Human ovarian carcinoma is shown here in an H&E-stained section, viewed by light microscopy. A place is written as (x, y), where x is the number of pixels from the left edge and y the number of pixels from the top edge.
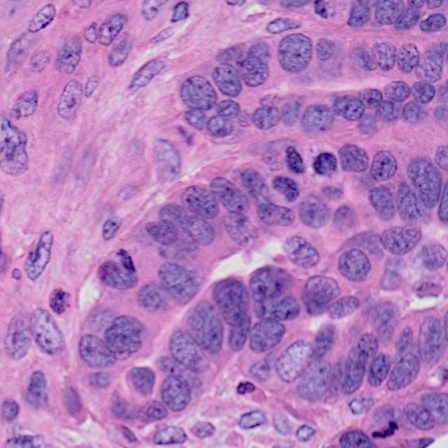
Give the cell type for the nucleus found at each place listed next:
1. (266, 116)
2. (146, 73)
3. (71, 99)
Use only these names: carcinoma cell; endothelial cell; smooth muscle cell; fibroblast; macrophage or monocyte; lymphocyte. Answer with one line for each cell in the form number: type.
1: carcinoma cell
2: fibroblast
3: fibroblast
